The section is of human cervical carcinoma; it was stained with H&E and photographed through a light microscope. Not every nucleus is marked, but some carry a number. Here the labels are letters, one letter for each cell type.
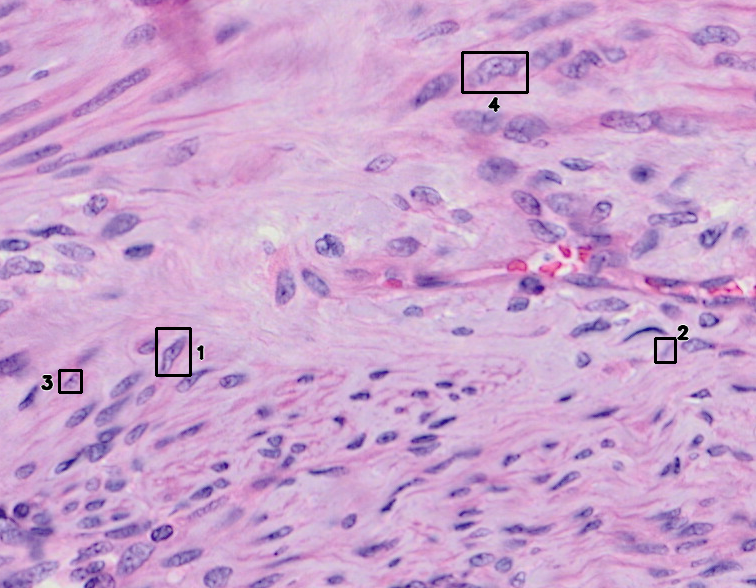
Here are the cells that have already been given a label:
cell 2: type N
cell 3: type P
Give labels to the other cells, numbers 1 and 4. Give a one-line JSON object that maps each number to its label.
{"1": "type P", "4": "type P"}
